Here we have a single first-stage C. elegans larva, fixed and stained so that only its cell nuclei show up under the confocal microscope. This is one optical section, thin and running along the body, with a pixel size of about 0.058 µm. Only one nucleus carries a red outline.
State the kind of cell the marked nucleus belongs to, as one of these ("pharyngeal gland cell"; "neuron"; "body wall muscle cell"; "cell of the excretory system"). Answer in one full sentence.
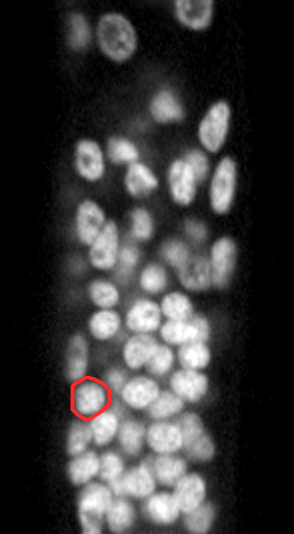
The marked nucleus is that of a neuron.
